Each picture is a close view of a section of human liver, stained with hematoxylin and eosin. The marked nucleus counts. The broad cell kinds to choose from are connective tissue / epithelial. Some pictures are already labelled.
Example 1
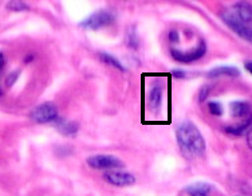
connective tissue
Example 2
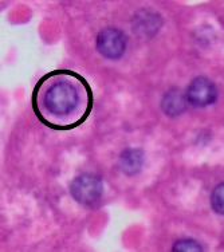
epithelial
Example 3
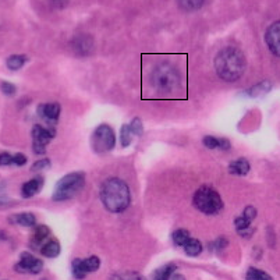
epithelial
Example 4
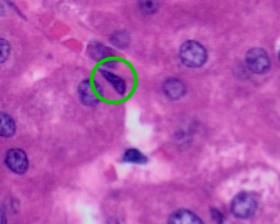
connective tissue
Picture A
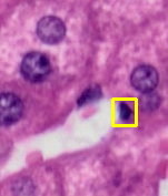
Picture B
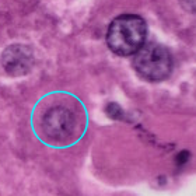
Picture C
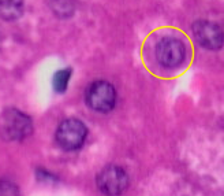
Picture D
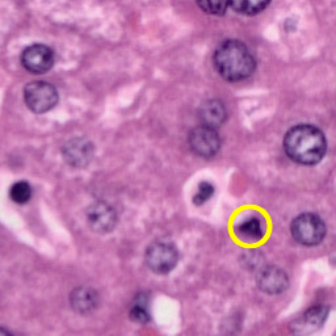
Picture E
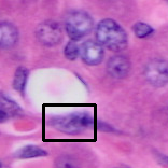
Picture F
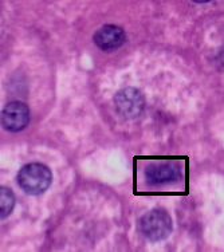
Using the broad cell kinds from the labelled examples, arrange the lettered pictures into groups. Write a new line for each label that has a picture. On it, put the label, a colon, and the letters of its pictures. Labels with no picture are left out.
connective tissue: A, D, E, F
epithelial: B, C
